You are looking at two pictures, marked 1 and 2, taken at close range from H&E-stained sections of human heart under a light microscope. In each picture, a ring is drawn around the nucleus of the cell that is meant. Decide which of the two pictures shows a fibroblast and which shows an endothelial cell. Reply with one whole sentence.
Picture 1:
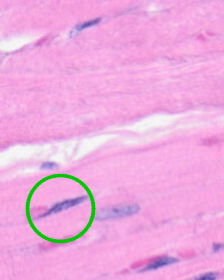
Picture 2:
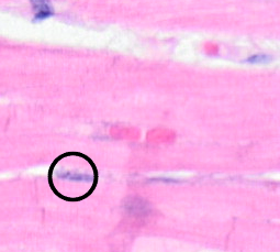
The cell in picture 1 is an endothelial cell, and the one in picture 2 is a fibroblast.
